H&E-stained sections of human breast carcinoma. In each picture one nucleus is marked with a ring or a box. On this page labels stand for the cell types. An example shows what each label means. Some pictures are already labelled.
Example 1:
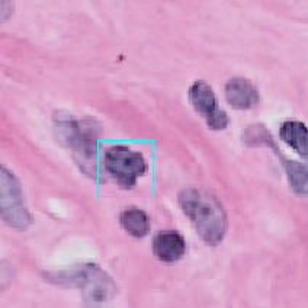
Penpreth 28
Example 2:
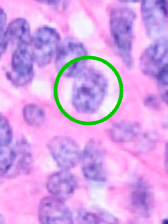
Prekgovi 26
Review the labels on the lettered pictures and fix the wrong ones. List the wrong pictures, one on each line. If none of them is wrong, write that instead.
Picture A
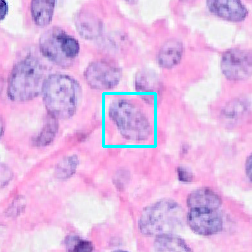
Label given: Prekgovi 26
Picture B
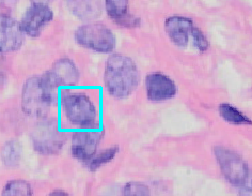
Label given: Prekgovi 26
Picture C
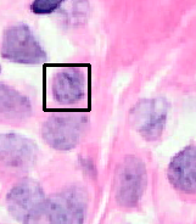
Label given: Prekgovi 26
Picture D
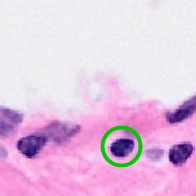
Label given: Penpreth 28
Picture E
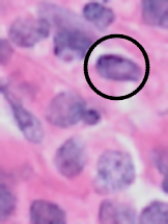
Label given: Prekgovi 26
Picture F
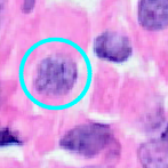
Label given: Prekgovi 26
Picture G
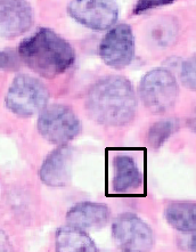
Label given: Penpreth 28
G: not Penpreth 28 but Prekgovi 26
